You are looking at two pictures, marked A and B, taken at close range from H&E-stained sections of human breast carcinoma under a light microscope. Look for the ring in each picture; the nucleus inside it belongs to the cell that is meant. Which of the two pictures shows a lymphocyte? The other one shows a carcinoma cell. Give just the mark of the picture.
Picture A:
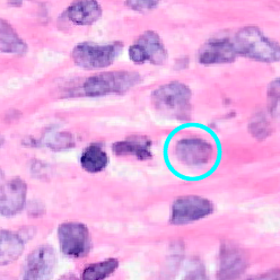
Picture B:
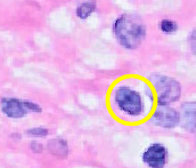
B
